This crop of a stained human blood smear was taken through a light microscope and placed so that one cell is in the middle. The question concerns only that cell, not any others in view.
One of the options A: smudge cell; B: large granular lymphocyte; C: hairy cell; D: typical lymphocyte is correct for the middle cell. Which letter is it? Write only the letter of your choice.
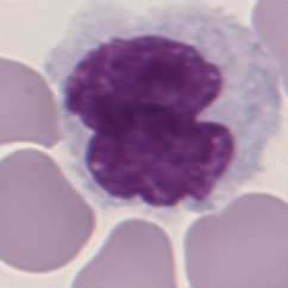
C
